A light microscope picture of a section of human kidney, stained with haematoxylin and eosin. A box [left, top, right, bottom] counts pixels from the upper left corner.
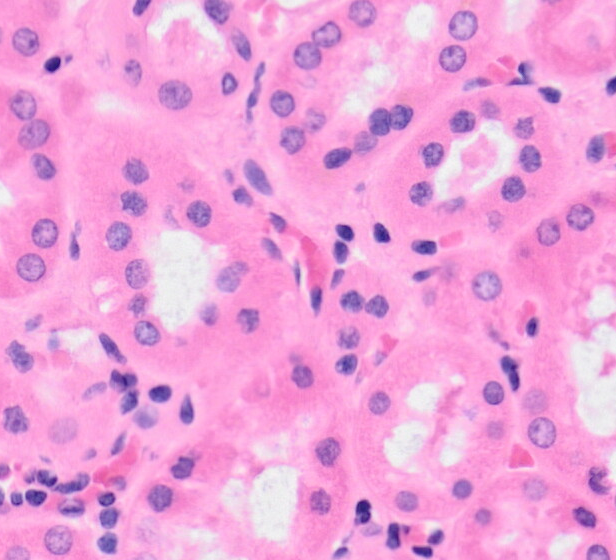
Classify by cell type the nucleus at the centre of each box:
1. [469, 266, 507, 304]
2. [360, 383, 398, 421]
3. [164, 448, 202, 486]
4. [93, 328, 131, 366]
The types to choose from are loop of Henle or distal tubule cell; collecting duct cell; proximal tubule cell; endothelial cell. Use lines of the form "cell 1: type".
cell 1: proximal tubule cell
cell 2: proximal tubule cell
cell 3: proximal tubule cell
cell 4: endothelial cell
